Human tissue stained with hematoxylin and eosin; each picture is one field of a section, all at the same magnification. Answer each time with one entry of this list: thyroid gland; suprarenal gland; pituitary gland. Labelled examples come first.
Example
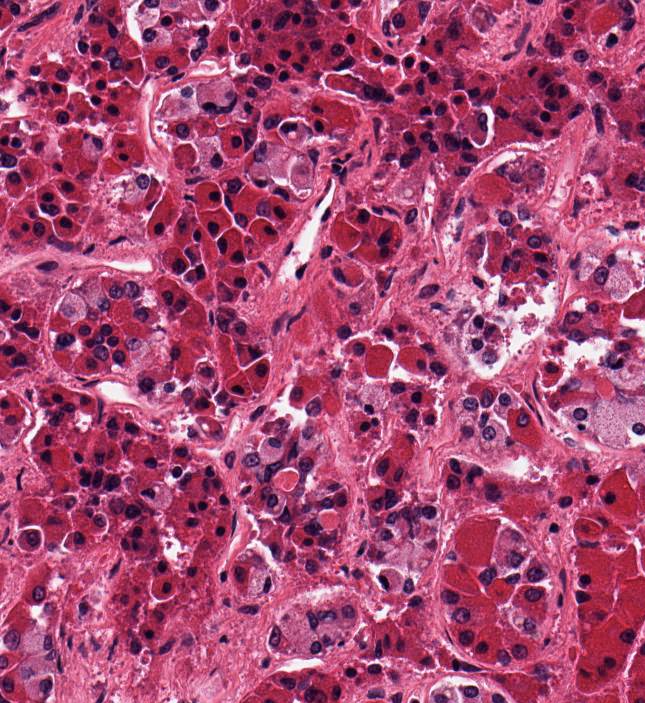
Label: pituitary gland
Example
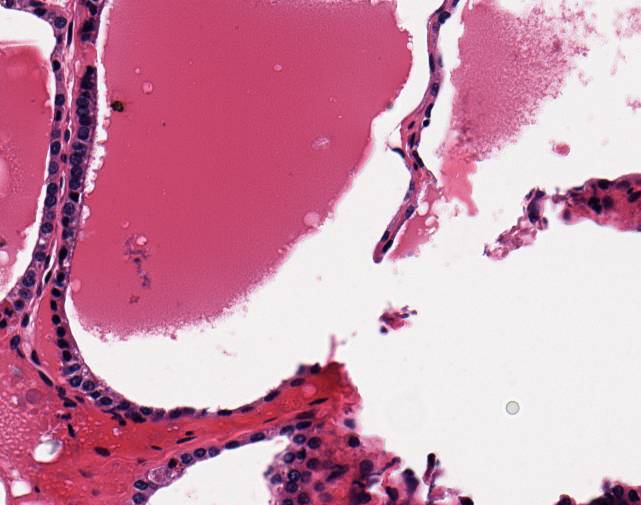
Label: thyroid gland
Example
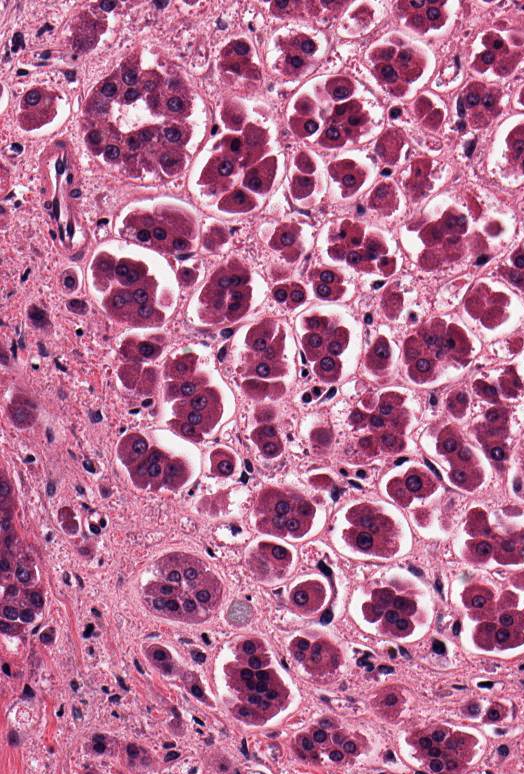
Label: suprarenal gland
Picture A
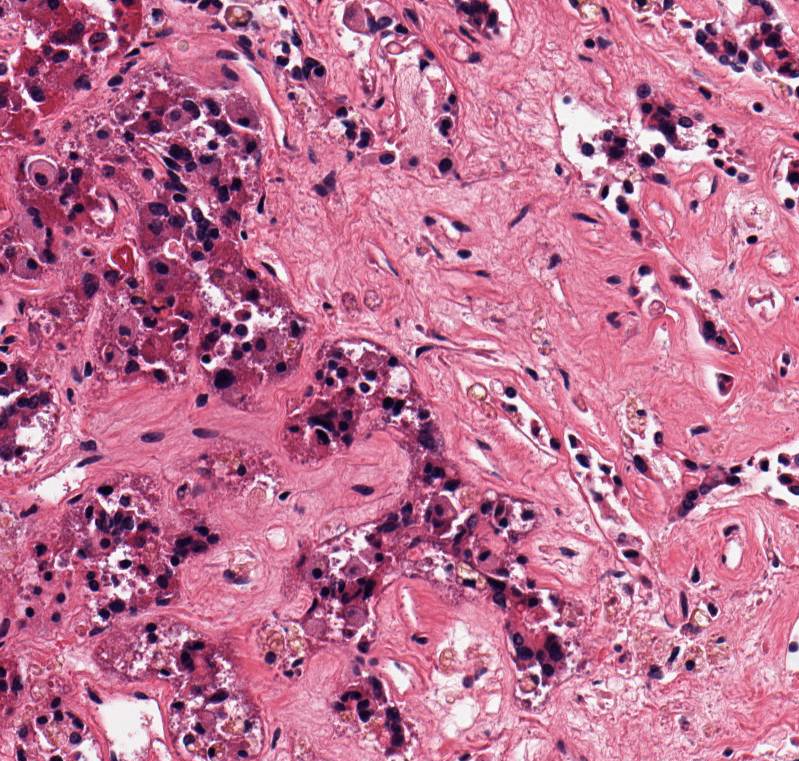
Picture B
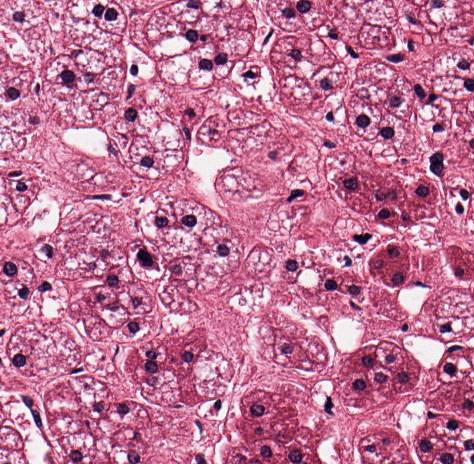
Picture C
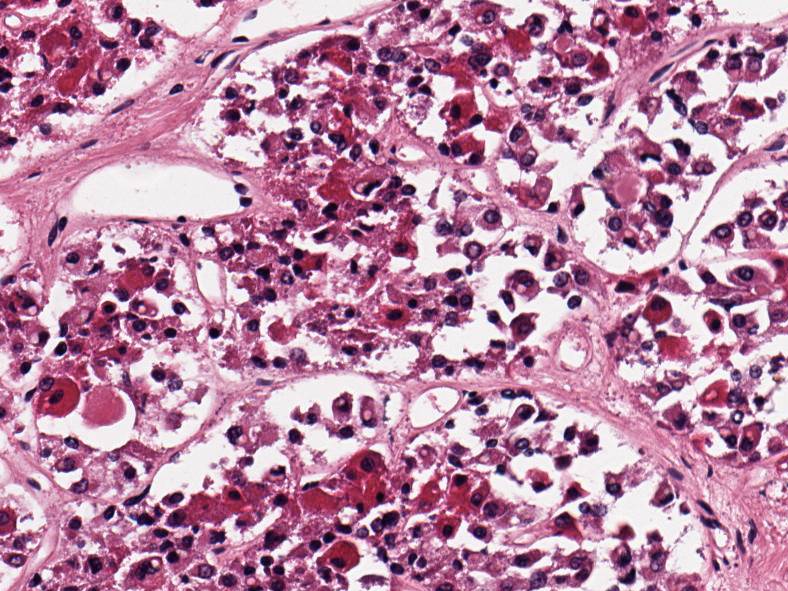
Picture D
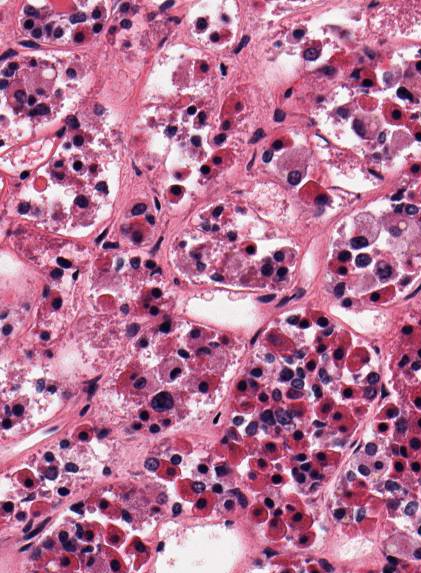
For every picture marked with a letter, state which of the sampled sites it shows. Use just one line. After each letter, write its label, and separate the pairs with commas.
A pituitary gland, B suprarenal gland, C pituitary gland, D pituitary gland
